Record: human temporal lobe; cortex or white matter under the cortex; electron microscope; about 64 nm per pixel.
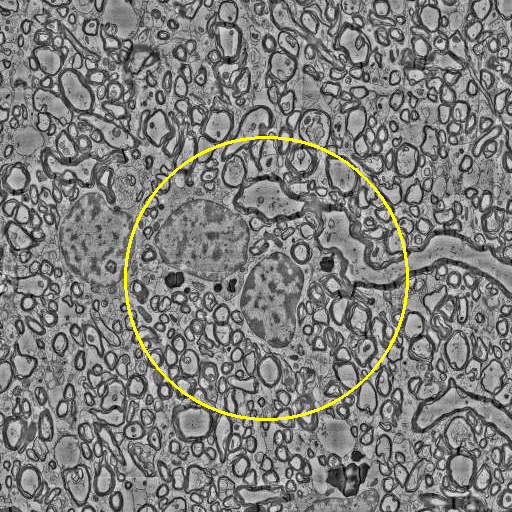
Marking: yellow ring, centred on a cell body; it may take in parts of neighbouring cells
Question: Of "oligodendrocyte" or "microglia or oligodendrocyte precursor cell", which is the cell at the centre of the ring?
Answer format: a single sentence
The ring surrounds the body of a microglial cell or oligodendrocyte precursor cell.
